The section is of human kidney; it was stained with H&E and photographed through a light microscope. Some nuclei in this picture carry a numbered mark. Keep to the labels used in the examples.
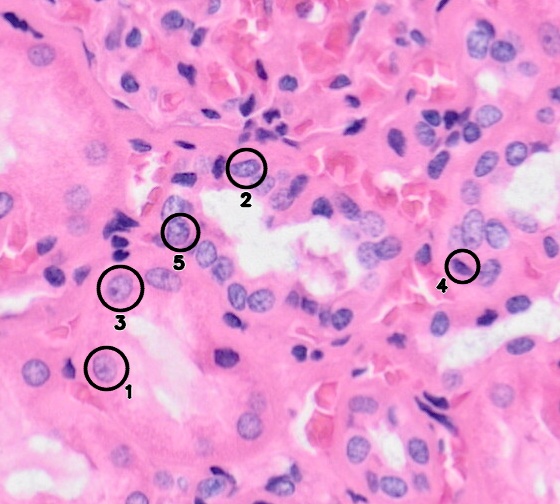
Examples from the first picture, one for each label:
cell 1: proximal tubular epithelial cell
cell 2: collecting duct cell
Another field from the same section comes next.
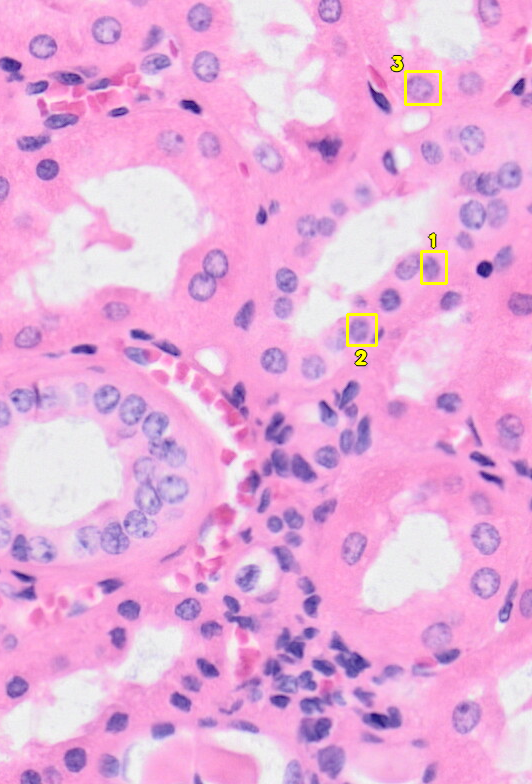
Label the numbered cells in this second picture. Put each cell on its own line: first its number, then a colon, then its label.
1: collecting duct cell
2: collecting duct cell
3: proximal tubular epithelial cell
